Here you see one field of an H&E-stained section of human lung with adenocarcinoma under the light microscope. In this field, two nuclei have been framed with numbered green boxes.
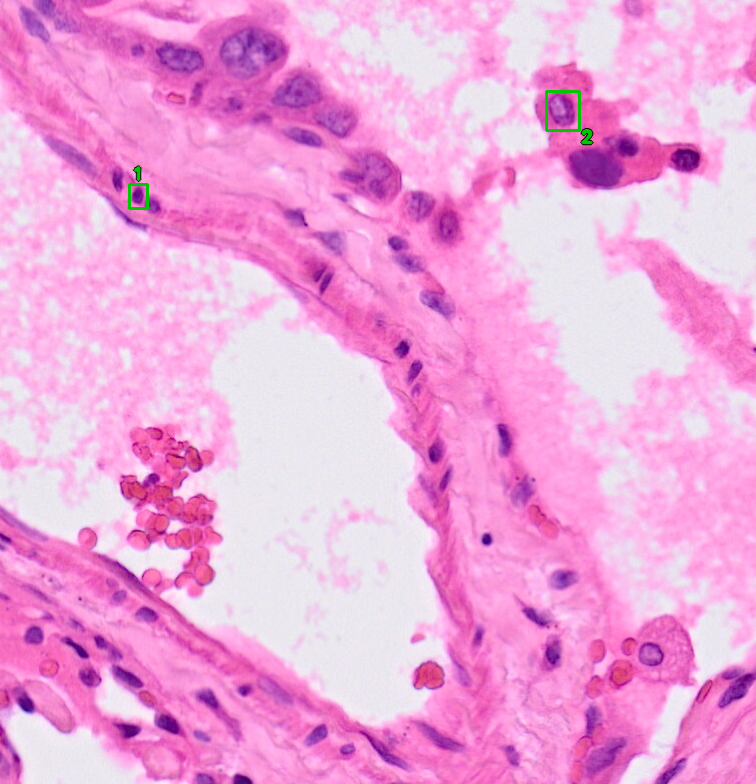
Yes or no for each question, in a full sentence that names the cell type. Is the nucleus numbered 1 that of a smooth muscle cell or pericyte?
Yes, the cell at number 1 is a smooth muscle cell or pericyte.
